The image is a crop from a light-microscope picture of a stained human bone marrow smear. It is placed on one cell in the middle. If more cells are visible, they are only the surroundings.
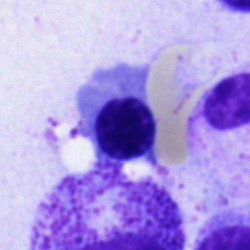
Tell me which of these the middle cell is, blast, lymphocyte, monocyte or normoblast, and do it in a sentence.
Of the cells in this crop, the central one is a normoblast.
